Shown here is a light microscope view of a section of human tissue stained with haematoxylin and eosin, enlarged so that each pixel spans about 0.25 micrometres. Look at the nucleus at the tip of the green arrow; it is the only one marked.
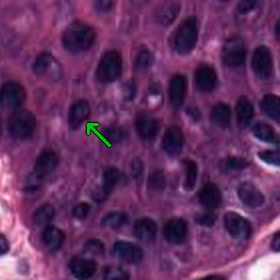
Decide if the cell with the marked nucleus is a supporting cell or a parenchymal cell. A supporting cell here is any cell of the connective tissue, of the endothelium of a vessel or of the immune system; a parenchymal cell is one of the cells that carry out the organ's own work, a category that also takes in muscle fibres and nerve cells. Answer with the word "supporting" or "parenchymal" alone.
parenchymal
